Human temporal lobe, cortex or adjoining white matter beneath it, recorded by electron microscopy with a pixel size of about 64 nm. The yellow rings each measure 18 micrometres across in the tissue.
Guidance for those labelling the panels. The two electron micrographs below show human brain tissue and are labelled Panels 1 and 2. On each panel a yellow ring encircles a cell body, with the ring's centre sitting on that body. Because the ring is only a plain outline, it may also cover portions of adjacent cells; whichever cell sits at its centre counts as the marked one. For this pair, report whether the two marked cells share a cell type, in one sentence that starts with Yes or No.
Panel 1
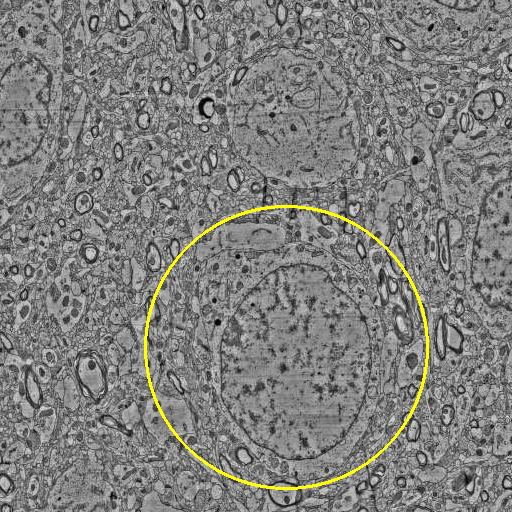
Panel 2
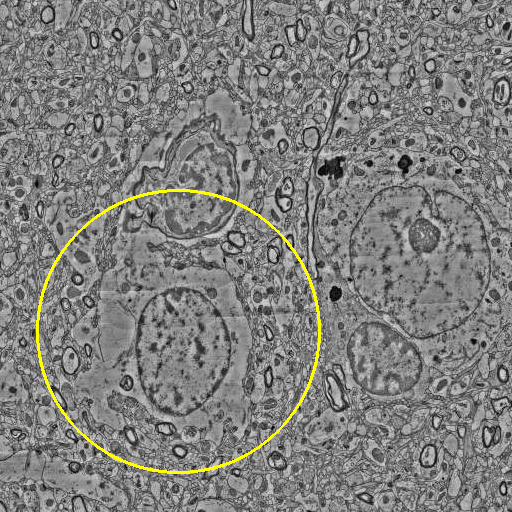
No, in Panel 1 and Panel 2 the marked cells at the ring centres are of two types.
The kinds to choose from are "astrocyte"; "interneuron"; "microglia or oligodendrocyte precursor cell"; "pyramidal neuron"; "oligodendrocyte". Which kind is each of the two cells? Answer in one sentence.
Of the two, the first cell is a pyramidal neuron and the second cell is an astrocyte.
